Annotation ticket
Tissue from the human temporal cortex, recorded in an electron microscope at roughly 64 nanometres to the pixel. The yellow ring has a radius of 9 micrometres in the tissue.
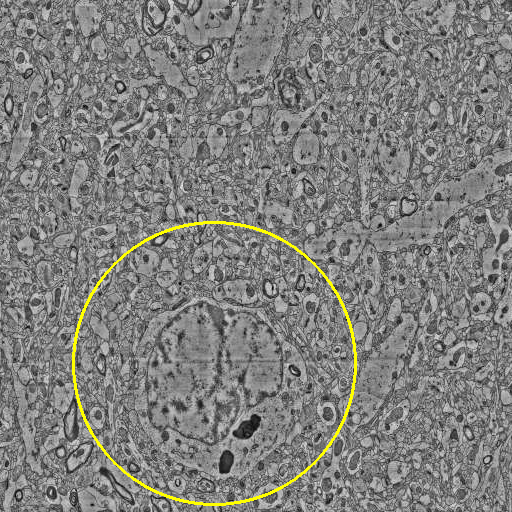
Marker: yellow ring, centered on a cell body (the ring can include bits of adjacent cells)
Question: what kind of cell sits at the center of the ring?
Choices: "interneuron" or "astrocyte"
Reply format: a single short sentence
The ring is centered on an interneuron.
